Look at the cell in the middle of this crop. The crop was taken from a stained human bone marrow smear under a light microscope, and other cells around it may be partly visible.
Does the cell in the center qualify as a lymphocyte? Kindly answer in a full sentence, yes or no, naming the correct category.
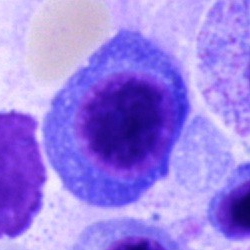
No, in this crop the middle cell is a plasma cell, not a lymphocyte.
